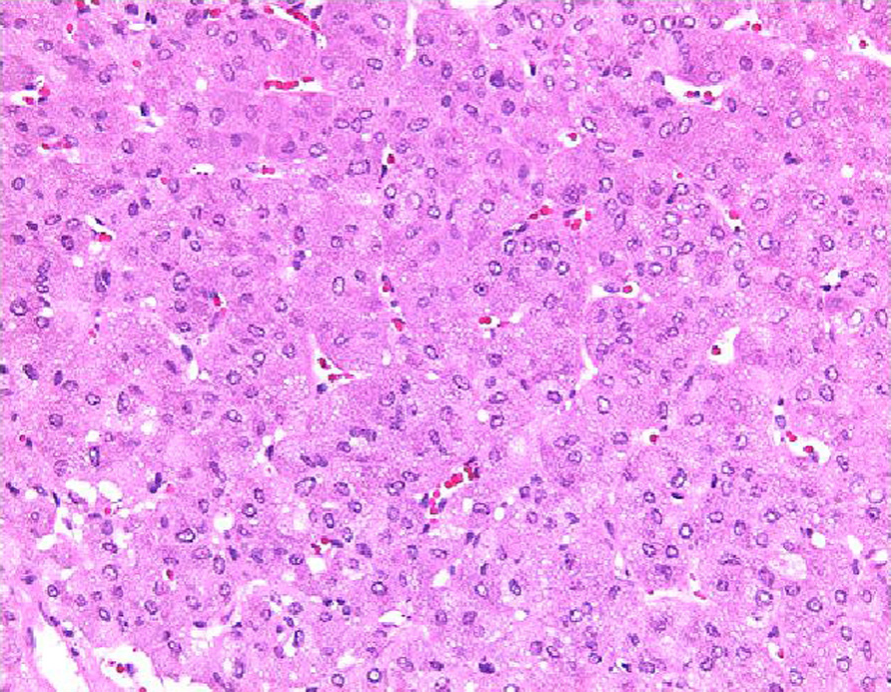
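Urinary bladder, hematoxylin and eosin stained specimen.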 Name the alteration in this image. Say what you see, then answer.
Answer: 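Sheets of cells resembling liver cells, with pink granular cytoplasm and round central nuclei. Cells form cords separated by sinusoid-like spaces holding red blood cells.
Hence: hepatoid adenocarcinoma.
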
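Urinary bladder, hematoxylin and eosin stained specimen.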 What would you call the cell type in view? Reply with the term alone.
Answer: Large, polygonal cells with eosinophilic cytoplasm.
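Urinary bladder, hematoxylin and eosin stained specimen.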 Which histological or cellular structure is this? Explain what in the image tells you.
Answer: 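Trabecular pattern. Cells lie in cords and plates a few cells thick. Narrow vascular spaces containing red blood cells run between the cords.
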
